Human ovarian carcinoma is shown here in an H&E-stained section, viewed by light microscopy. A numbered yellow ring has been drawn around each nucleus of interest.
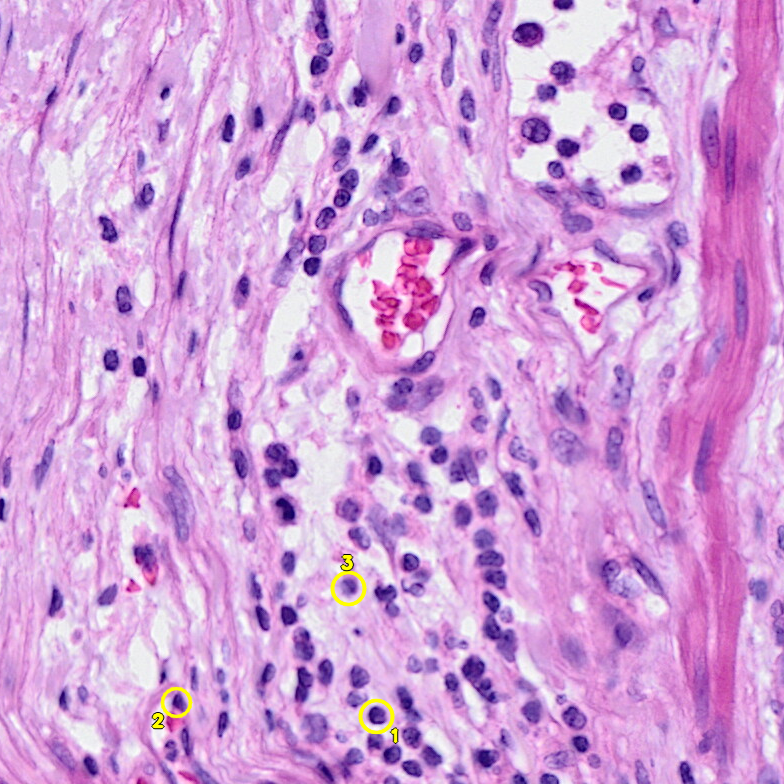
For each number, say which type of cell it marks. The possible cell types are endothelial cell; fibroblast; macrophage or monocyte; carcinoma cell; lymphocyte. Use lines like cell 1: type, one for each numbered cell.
cell 1: lymphocyte
cell 2: endothelial cell
cell 3: lymphocyte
